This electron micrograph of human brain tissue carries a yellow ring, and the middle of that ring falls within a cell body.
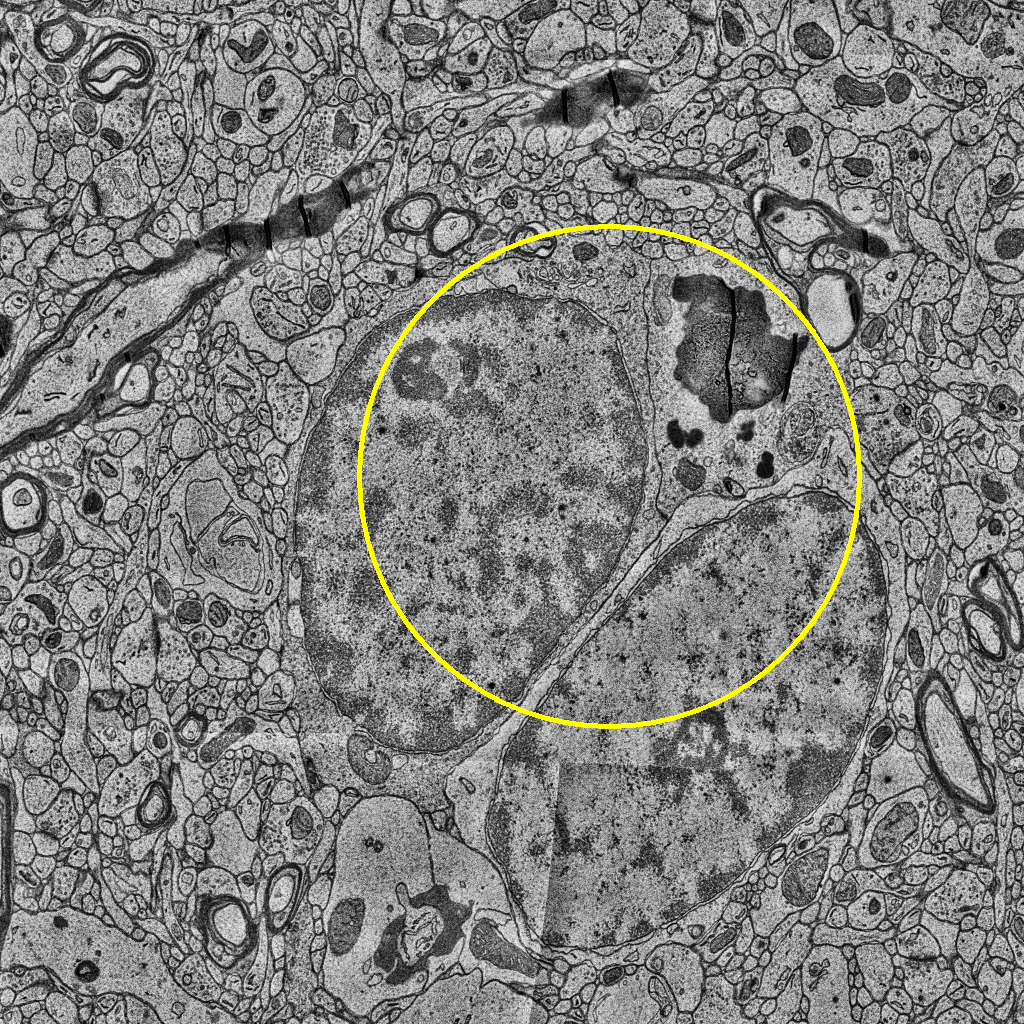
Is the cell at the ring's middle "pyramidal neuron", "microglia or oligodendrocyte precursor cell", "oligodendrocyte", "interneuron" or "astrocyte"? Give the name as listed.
oligodendrocyte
